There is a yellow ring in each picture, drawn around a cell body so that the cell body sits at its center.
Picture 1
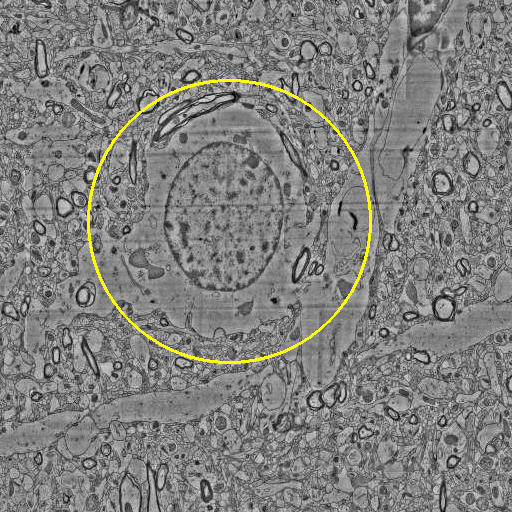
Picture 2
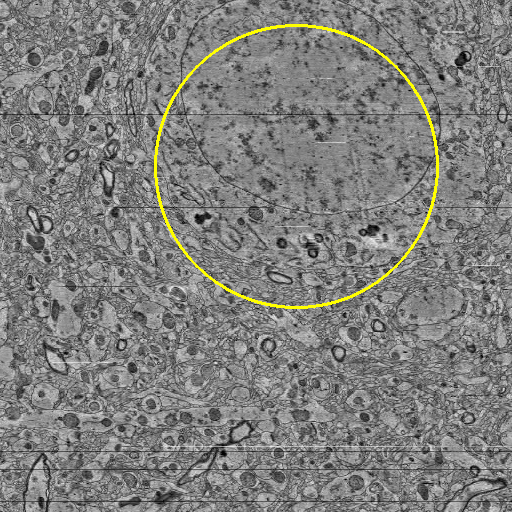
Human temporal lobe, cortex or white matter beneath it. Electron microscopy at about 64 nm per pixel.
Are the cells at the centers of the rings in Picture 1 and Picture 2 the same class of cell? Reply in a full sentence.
No, the two cells are two classes of cell.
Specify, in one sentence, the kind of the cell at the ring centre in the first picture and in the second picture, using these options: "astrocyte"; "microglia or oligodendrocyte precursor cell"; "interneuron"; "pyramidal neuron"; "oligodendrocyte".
So the first is an astrocyte, the second a pyramidal neuron.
